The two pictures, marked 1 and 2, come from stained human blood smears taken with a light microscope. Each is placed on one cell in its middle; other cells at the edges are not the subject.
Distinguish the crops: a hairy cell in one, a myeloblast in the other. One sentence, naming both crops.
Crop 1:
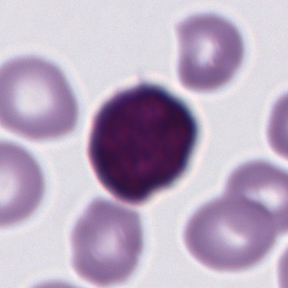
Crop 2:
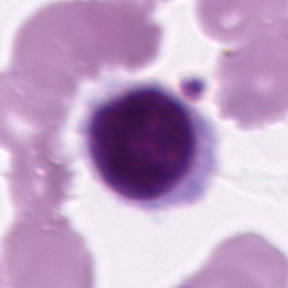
Crop 1 has a myeloblast at its centre, and crop 2 has a hairy cell.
